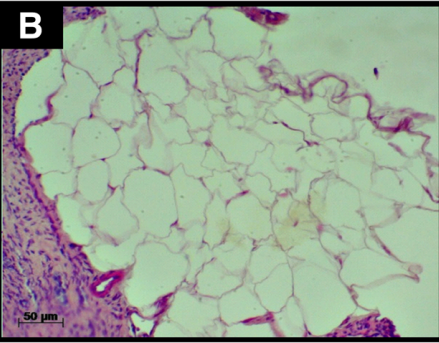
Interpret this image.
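Many cells are wide, several spanning more than the length of the scale bar, and they appear empty with few visible nuclei at their rims. Along the left edge lies a denser strip of tissue with many small purple nuclei, and wavy pink strands of connective tissue run across the upper part of the fat.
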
